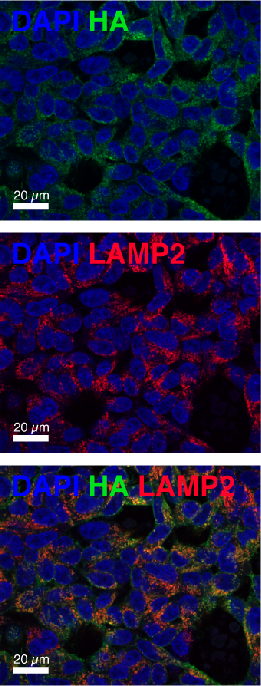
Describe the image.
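Densely packed cultured cells are shown in three stacked views, with round to oval blue nuclei filling much of each field. In the top view, fine green puncta and patches are scattered through the cytoplasm between the nuclei. In the bottom merged view, green and red puncta overlap in many places, giving yellow to orange dots around the nuclei.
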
